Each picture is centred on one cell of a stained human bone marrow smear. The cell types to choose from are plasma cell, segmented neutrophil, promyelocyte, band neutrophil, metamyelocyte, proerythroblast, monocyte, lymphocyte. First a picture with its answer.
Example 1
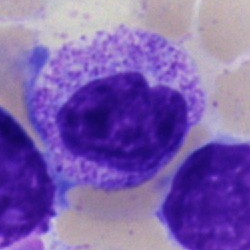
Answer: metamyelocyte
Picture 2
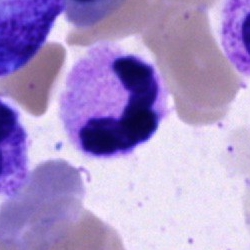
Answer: segmented neutrophil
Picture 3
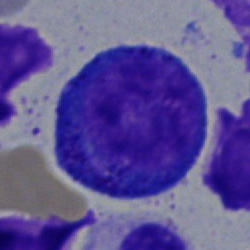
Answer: proerythroblast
